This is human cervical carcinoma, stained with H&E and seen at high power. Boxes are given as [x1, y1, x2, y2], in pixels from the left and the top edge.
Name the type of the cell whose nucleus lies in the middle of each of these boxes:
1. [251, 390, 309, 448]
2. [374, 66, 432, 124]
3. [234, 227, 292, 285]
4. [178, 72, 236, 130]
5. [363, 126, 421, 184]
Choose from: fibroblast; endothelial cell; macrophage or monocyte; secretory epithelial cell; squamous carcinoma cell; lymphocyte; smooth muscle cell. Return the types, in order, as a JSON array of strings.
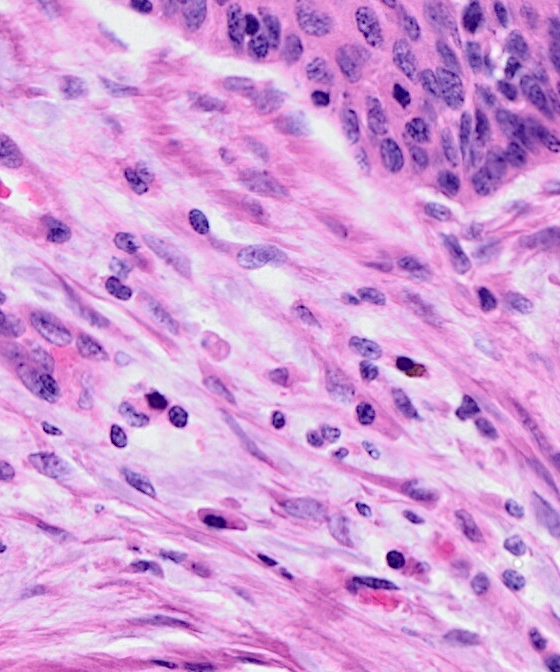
["lymphocyte", "squamous carcinoma cell", "fibroblast", "fibroblast", "squamous carcinoma cell"]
